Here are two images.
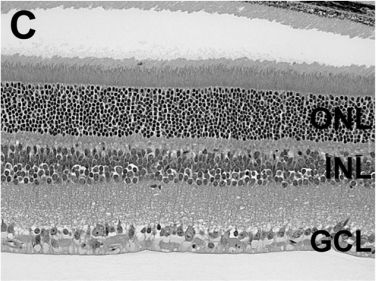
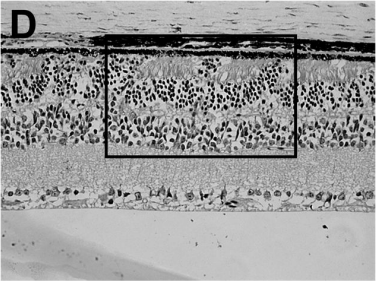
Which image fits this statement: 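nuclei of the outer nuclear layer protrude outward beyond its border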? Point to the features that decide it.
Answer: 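The second image. Second image: the outer nuclear layer has an irregular outer edge with clusters of nuclei pushing out toward the pigmented layer. First image: the outer nuclear layer is a uniform, dense band with a straight outer border beneath a pale segment layer.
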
